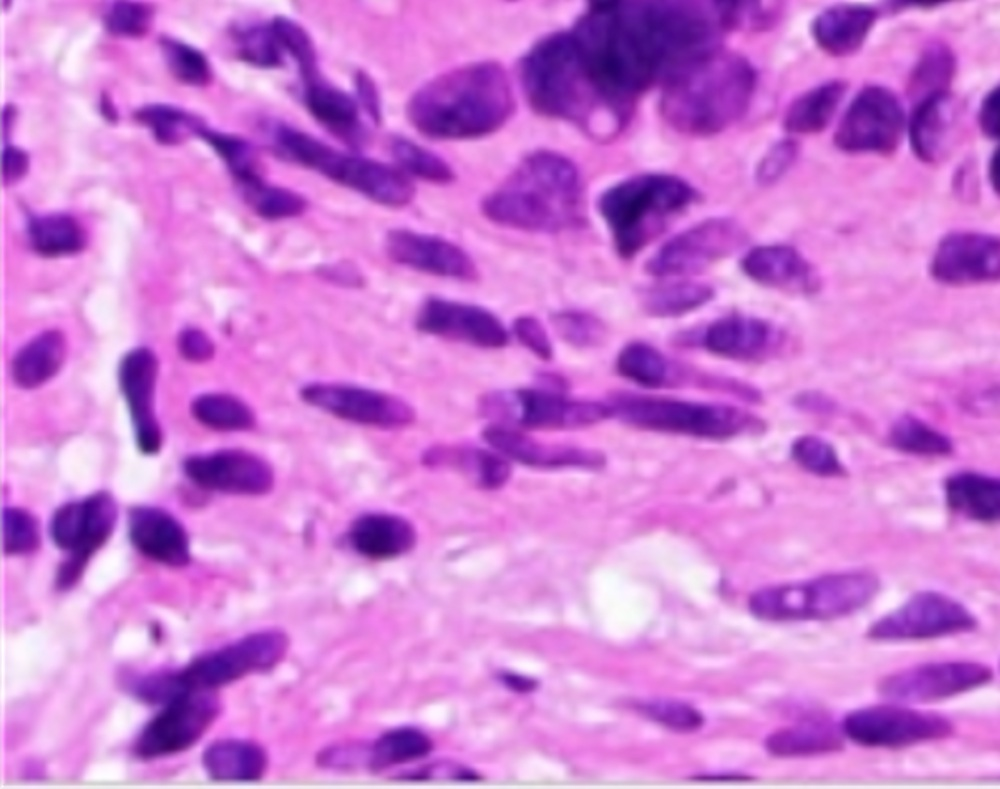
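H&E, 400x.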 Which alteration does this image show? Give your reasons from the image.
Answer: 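A cluster of nuclei toward the upper right is larger and rounder than the rest. Those nuclei stain darker purple than the surrounding spindle nuclei.
Answer: Focal atypia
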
